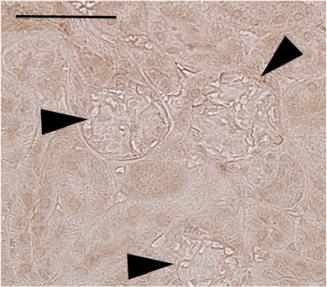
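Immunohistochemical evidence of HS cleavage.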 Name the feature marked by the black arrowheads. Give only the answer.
Glomeruli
